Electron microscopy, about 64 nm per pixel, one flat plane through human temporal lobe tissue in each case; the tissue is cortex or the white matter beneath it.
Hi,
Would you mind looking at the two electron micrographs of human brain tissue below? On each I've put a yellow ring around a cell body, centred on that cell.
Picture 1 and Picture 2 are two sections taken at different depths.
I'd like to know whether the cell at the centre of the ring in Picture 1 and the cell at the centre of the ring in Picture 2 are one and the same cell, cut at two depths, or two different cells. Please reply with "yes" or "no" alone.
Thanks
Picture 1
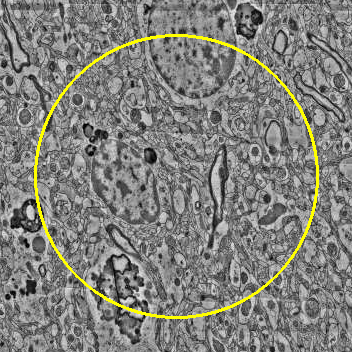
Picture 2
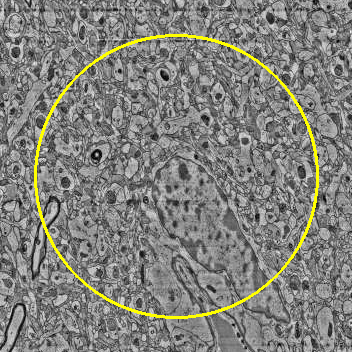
no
